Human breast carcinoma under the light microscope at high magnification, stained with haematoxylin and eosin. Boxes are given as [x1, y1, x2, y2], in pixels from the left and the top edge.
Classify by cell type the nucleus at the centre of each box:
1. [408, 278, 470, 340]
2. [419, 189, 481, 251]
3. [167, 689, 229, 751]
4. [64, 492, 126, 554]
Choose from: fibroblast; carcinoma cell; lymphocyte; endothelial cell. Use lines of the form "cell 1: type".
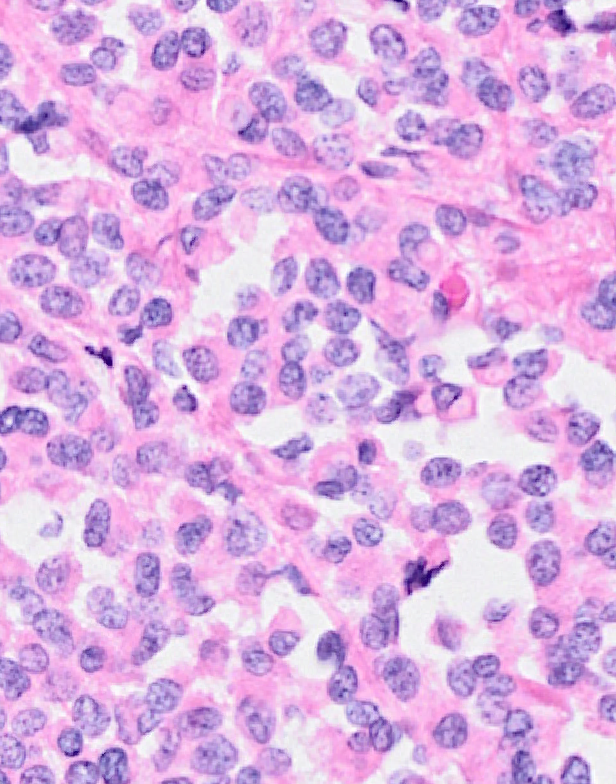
cell 1: endothelial cell
cell 2: carcinoma cell
cell 3: carcinoma cell
cell 4: carcinoma cell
